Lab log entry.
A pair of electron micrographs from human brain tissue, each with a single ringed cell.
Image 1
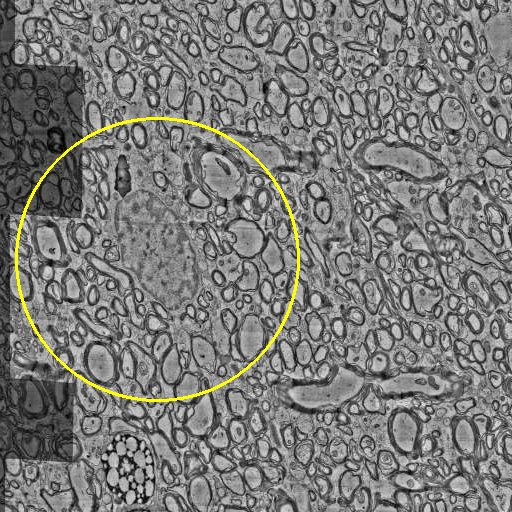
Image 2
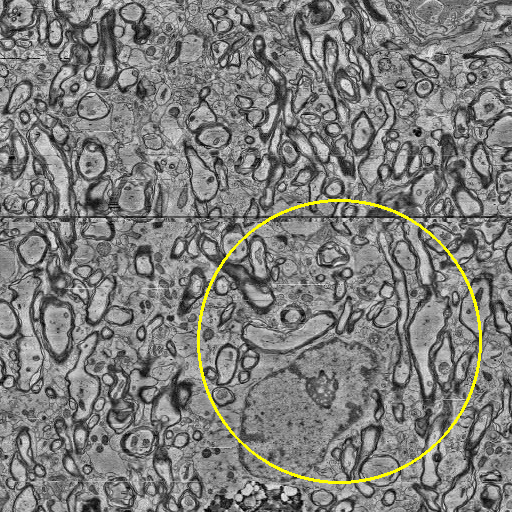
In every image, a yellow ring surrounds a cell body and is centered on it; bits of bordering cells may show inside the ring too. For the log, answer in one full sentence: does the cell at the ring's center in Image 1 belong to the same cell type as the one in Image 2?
No, the cells at the ring centers in Image 1 and Image 2 are of separate types.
